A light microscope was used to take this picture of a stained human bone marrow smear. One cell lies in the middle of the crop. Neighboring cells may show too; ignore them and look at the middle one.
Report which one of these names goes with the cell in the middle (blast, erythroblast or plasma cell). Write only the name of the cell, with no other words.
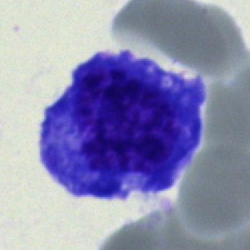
plasma cell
